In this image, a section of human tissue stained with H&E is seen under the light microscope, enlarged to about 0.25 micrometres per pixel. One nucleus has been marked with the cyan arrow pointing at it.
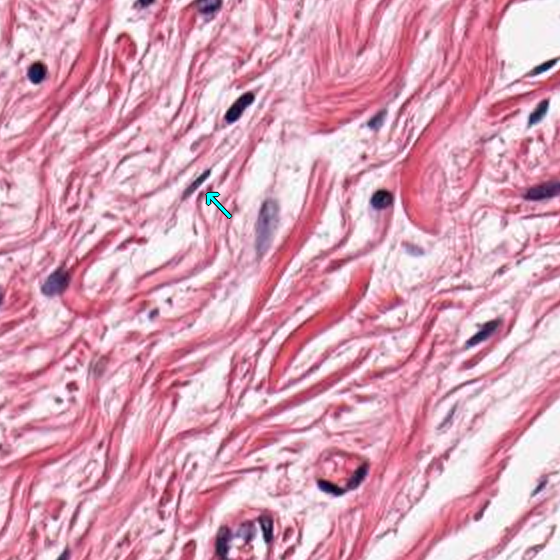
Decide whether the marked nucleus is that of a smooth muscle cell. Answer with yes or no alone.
no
